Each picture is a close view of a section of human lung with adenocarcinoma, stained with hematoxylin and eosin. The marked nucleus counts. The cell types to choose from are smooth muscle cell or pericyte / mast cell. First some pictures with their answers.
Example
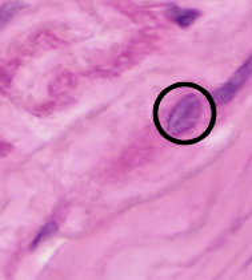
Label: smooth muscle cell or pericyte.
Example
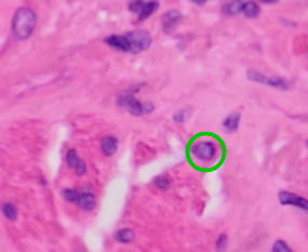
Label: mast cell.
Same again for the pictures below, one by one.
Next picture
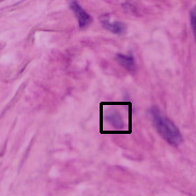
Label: smooth muscle cell or pericyte.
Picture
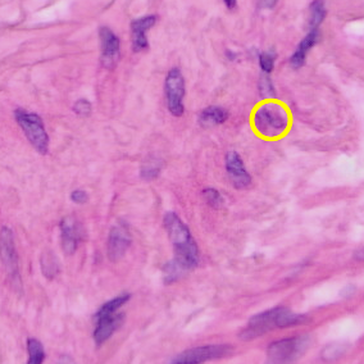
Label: smooth muscle cell or pericyte.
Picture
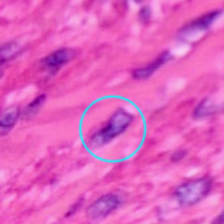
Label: smooth muscle cell or pericyte.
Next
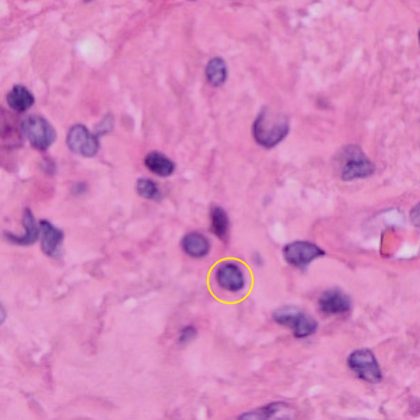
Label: mast cell.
